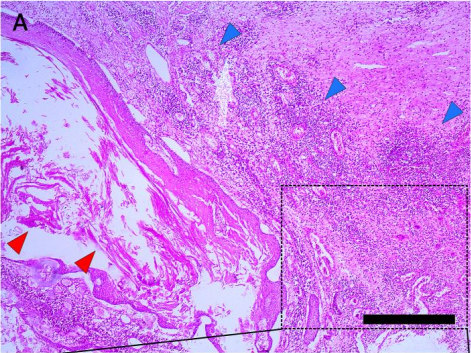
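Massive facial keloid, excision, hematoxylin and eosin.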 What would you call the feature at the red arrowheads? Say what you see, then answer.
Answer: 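Flakes of keratin. The red arrowheads point to pale pink, flaky, acellular material lying in a cavity. The flaky material sits inside a space bordered by a pink lining layer.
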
